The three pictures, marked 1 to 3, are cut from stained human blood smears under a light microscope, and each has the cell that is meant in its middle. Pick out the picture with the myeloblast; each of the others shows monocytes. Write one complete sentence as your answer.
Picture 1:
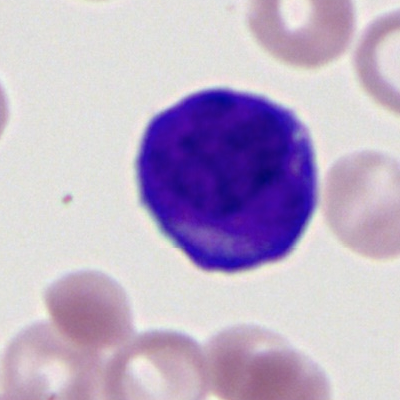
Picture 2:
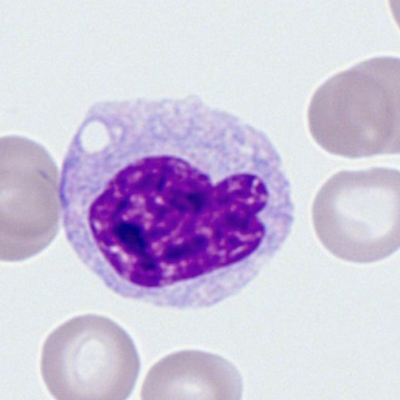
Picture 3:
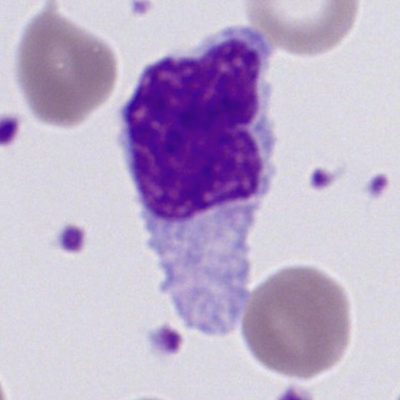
The picture with the myeloblast is 1.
